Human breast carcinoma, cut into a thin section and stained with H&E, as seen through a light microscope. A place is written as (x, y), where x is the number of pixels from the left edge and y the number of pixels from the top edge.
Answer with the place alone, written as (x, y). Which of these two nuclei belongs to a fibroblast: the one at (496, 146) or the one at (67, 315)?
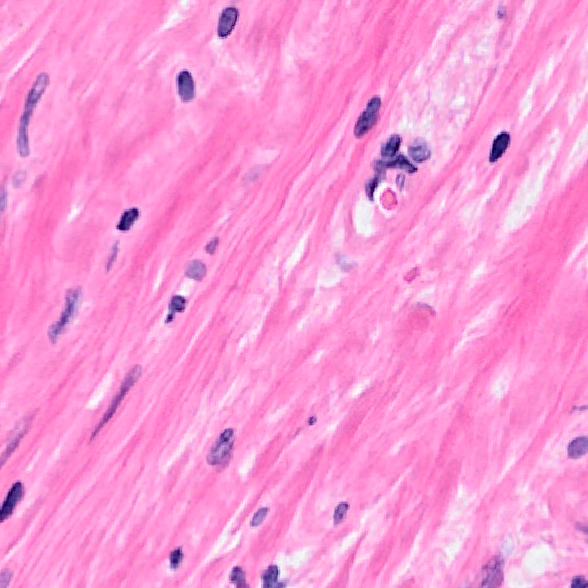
(67, 315)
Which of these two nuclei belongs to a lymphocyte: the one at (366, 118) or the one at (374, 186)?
(366, 118)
